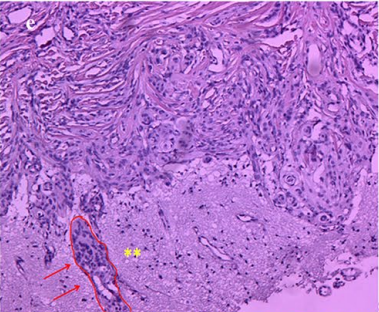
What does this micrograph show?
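The section shows the border between a meningioma and the brain tissue beneath it. The upper part is densely cellular tumour tissue with elongated and oval purple nuclei in streaming bundles within pink stroma. The lower part is pale pink, finely fibrillary brain tissue with sparse small nuclei.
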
